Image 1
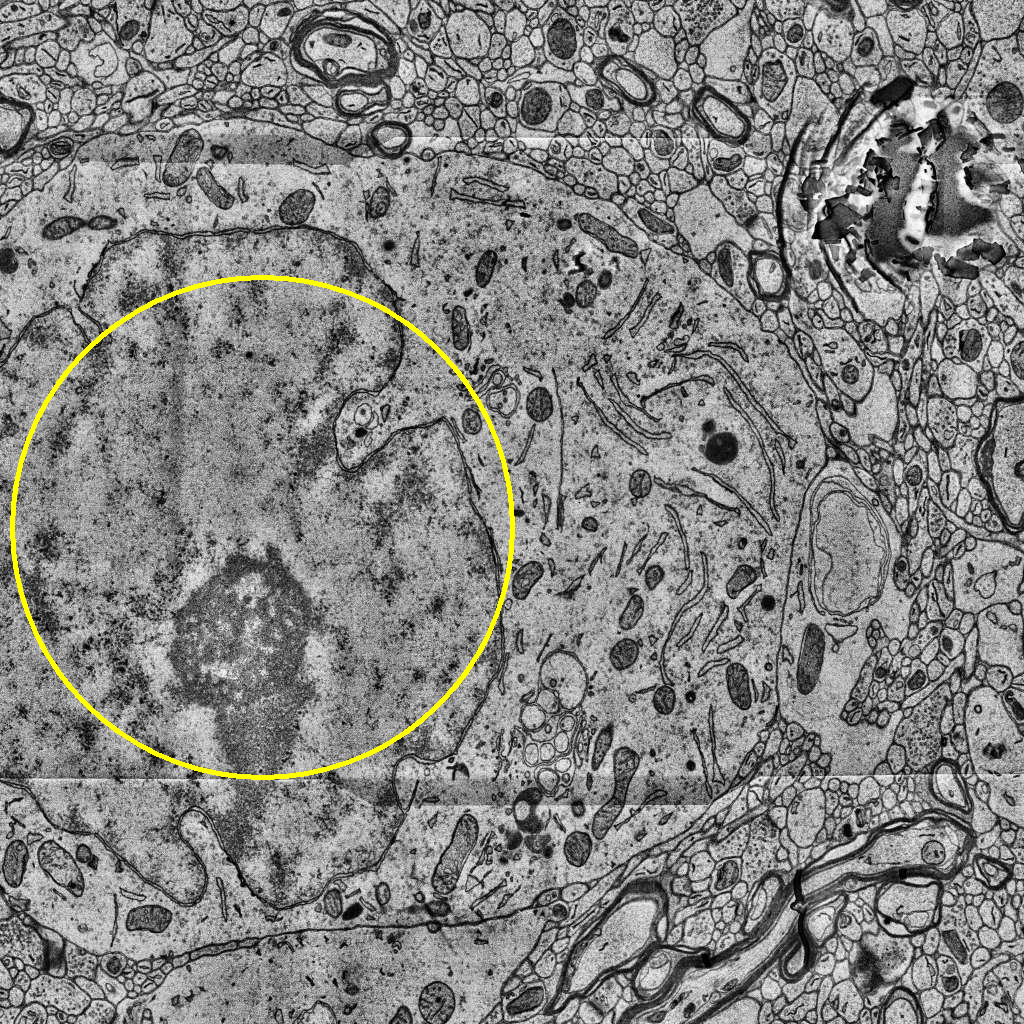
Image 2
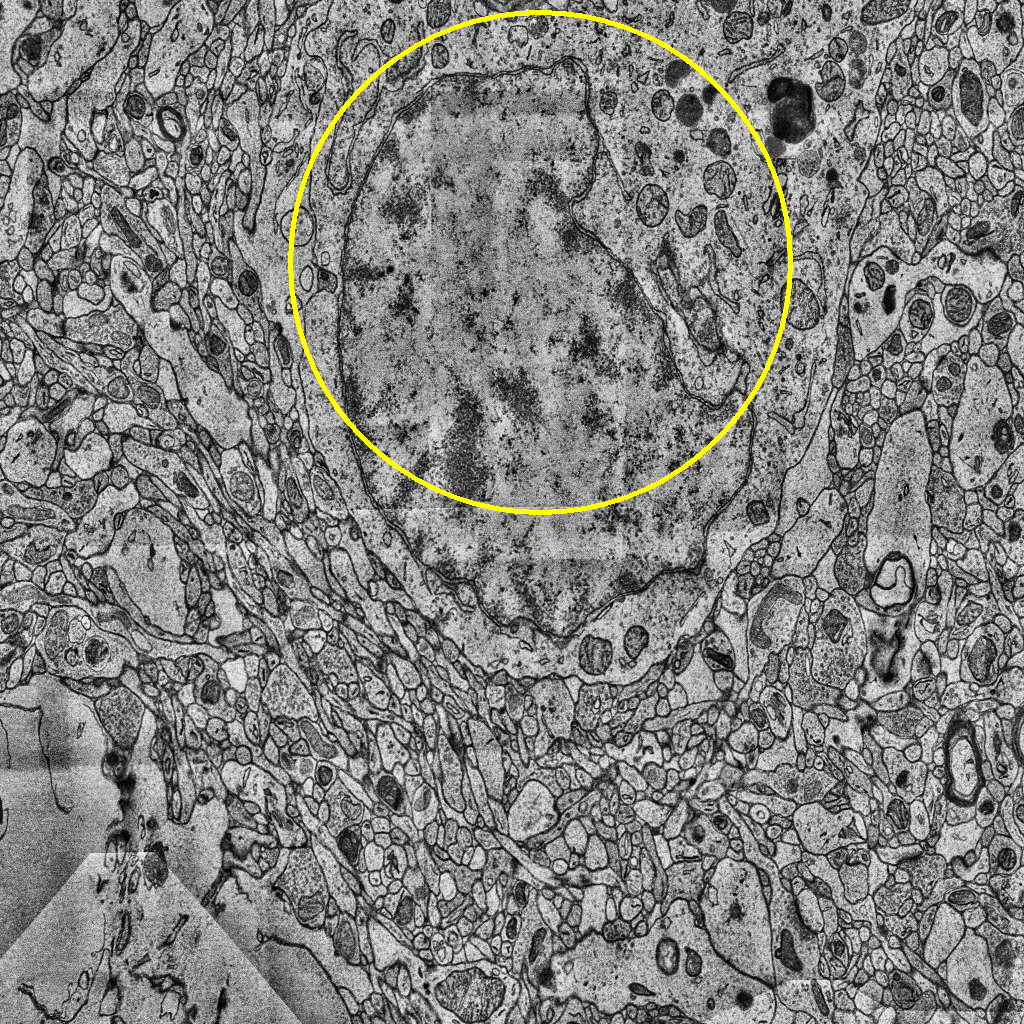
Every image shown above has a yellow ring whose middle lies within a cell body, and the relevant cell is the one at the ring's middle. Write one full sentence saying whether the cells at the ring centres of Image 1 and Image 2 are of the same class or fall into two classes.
The cell at the ring's centre in Image 1 and its counterpart in Image 2 are of the same class.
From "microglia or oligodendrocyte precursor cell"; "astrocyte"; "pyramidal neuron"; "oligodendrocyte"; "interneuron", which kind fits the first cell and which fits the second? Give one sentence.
The cell at the ring centre is an interneuron in both pictures.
